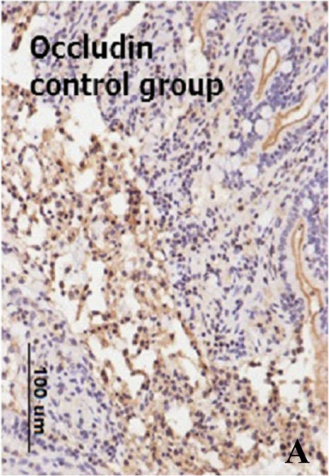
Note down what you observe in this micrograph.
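The field is packed with many small round cells with dark nuclei, many of them ringed or filled with brown stain, spread densely and diffusely through the tissue. Only a few strands of elongated brown-lined structures and remnants of glands remain at the edges. There is no continuous brown line along a surface lining. The picture is of tissue whose normal construction has largely disappeared and is heavily infiltrated with inflammatory cells.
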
